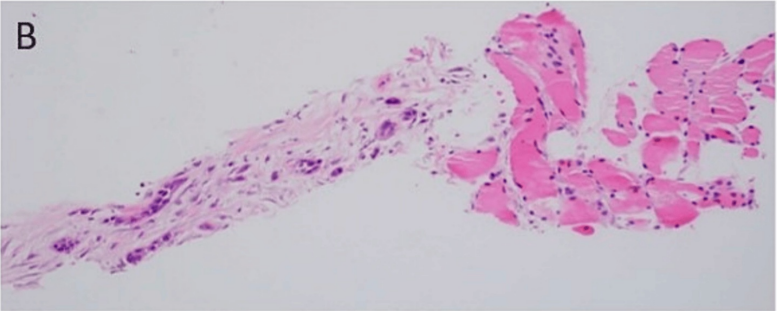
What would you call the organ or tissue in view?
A: skeletal muscle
